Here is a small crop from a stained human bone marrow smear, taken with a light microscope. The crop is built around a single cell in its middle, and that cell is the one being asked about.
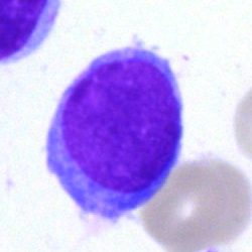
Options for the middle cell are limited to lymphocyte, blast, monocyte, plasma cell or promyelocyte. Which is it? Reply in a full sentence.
Here the cell in the middle is a blast.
